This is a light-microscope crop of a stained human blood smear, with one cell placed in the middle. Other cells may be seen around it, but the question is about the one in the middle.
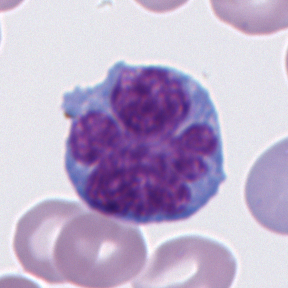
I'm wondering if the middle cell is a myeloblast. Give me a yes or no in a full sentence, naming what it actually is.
Yes, the centered cell in this field is a myeloblast.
